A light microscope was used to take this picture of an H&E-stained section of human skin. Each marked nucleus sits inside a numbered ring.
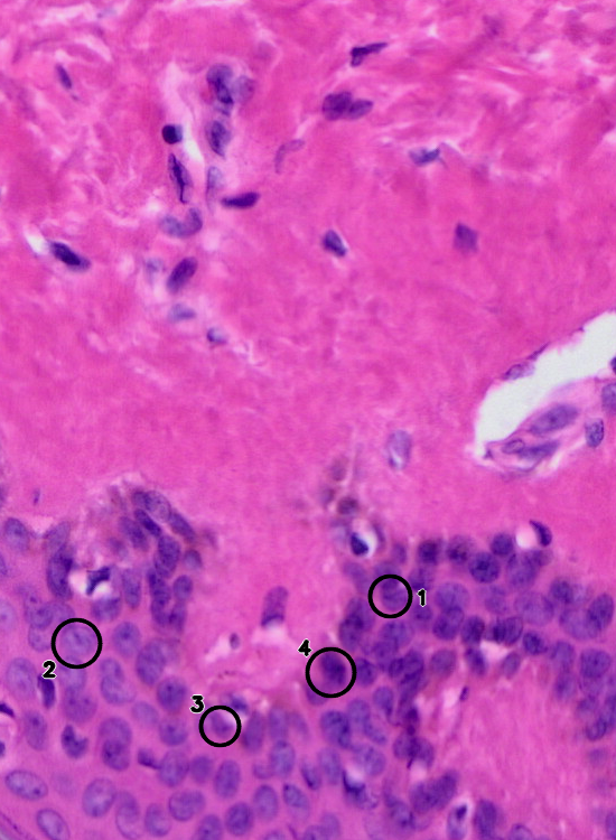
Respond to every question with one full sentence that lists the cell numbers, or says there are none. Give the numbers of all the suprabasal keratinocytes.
The numbered cells include exactly one that is a suprabasal keratinocyte, which is cell 2.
